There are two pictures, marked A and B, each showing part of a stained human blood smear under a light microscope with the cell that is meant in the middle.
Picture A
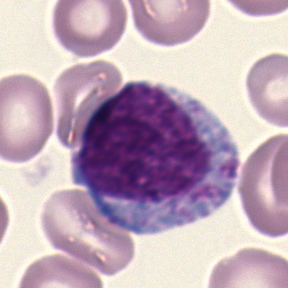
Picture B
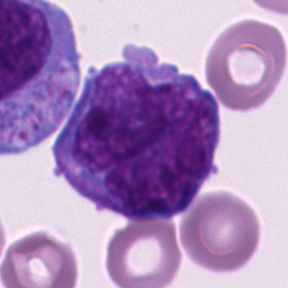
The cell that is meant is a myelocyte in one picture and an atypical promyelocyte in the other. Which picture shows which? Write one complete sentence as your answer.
In picture A the cell is a myelocyte; in picture B, an atypical promyelocyte.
